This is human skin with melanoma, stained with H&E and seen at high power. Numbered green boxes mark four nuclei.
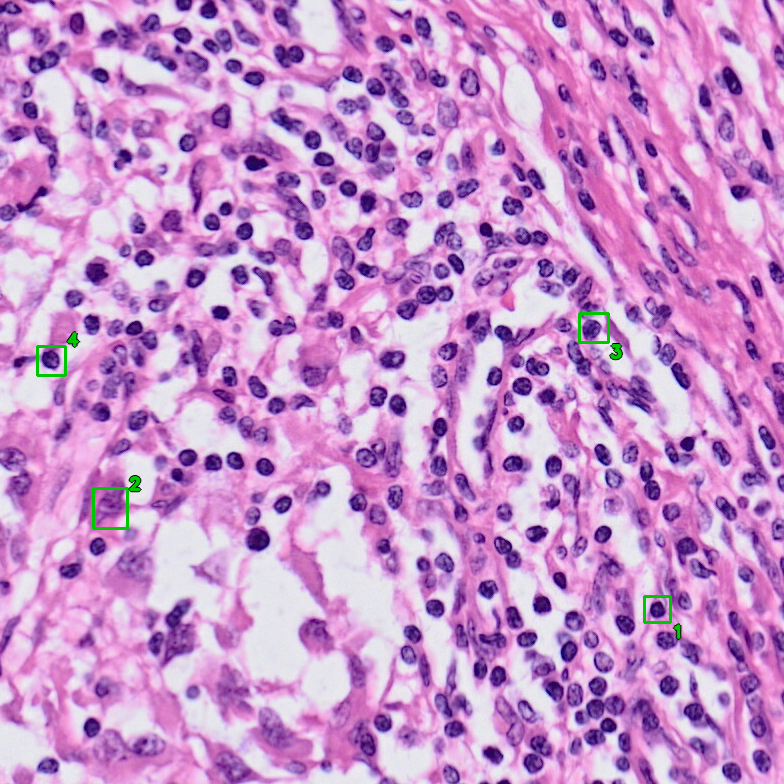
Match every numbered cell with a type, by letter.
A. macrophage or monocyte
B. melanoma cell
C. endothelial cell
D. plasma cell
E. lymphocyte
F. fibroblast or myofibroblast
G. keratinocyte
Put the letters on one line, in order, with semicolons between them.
E; B; E; E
